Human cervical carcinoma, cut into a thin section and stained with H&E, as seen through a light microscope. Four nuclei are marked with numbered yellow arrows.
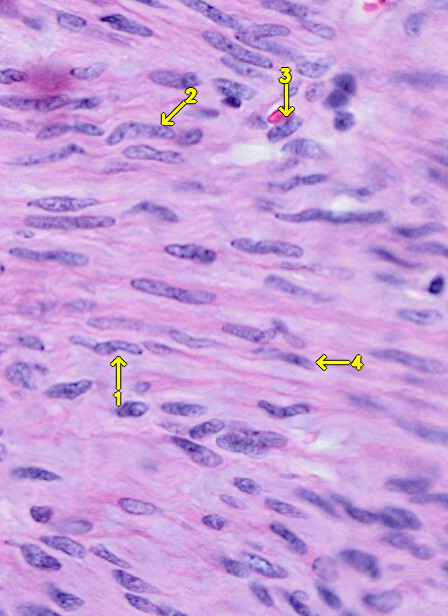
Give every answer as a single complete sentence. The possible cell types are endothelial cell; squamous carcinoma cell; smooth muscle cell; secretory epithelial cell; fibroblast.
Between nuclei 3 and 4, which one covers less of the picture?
Nucleus 4 is the smaller one; nucleus 3 covers about 2 times its area.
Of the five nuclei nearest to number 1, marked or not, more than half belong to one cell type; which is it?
Smooth muscle cells account for more than half of the five nuclei nearest to number 1.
